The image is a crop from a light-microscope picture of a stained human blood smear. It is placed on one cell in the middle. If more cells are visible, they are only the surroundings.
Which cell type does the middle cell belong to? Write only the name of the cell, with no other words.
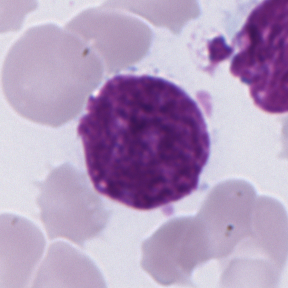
myeloblast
